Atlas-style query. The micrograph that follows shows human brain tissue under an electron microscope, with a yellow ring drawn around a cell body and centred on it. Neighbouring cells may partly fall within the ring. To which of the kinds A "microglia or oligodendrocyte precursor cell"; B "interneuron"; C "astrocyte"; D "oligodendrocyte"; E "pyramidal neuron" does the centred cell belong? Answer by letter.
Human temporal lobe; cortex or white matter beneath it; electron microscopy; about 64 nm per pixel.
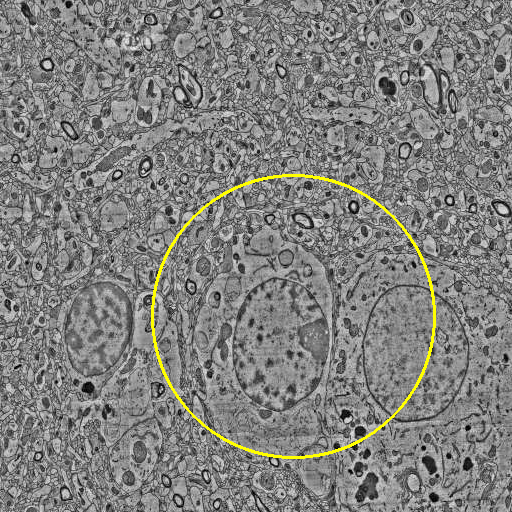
C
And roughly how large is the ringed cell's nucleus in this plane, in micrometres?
The nucleus appears roughly 8 by 7 micrometres in this plane.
